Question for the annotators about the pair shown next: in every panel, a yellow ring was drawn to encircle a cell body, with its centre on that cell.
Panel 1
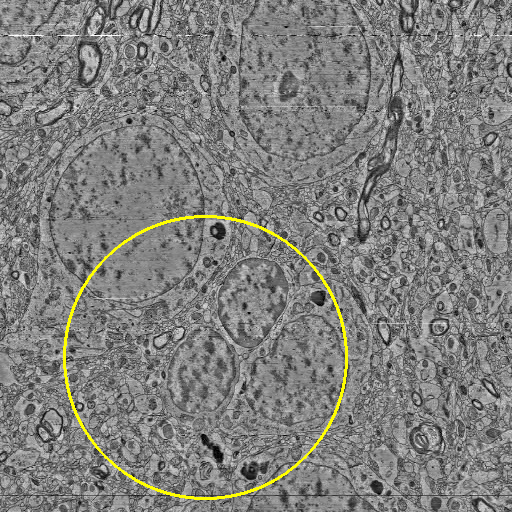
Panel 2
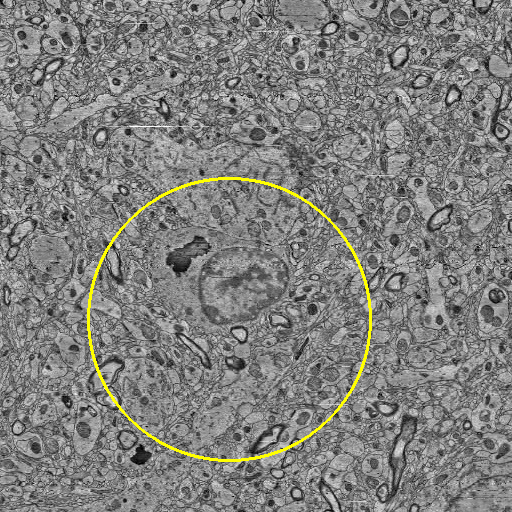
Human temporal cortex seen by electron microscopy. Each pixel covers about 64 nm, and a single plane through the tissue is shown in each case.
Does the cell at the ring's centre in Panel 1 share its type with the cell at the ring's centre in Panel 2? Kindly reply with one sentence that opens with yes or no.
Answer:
Yes, in Panels 1 and 2 the cells at the ring centres belong to a single type.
